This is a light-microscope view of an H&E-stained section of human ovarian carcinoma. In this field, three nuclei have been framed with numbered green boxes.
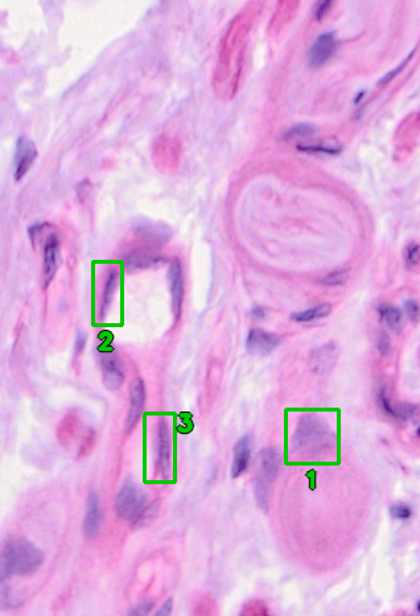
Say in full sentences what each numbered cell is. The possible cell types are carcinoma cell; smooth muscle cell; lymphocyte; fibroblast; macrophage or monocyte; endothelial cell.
Cell 1 is a fibroblast. Cells 2 and 3 are endothelial cells.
